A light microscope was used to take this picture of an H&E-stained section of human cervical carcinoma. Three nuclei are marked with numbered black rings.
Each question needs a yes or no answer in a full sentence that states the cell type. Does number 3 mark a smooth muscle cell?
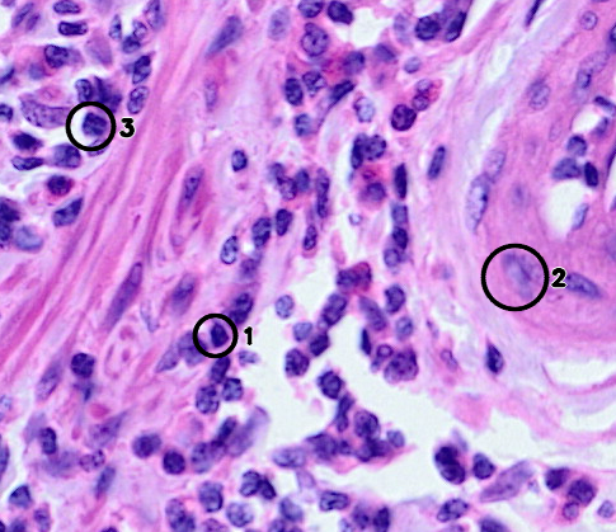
No, cell 3 is classified as a lymphocyte rather than a smooth muscle cell.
